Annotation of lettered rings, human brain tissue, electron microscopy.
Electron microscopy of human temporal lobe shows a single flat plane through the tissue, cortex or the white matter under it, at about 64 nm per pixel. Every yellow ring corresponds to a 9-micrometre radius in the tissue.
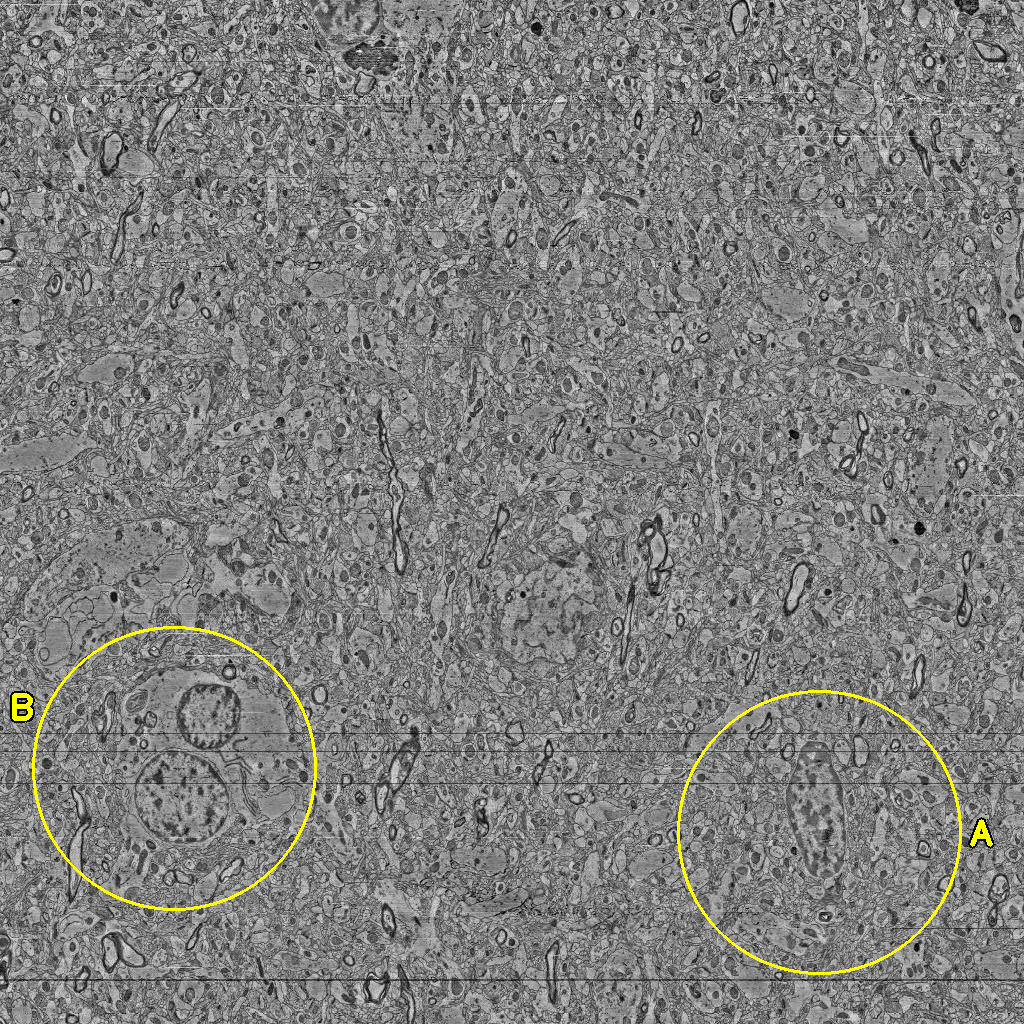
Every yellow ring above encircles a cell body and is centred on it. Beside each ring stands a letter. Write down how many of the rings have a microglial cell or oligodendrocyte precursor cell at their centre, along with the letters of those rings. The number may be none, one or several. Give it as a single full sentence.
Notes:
The micrograph shows two rings each centred on a microglial cell or oligodendrocyte precursor cell, those being the rings lettered A and B.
